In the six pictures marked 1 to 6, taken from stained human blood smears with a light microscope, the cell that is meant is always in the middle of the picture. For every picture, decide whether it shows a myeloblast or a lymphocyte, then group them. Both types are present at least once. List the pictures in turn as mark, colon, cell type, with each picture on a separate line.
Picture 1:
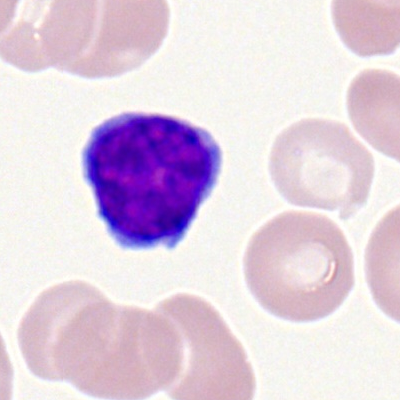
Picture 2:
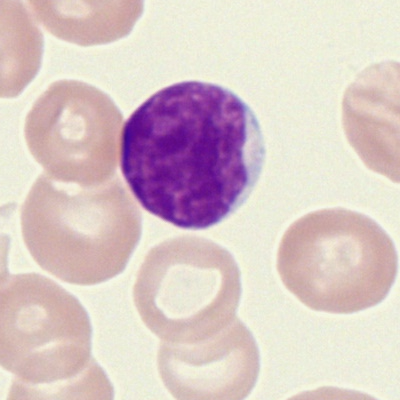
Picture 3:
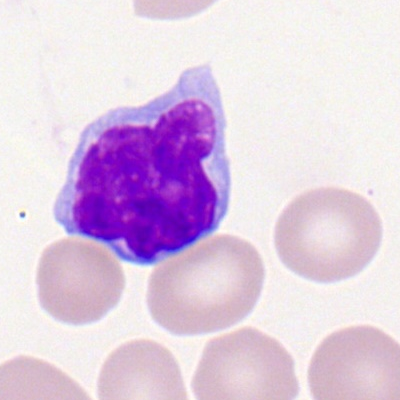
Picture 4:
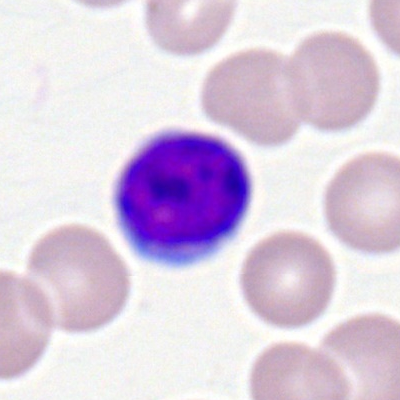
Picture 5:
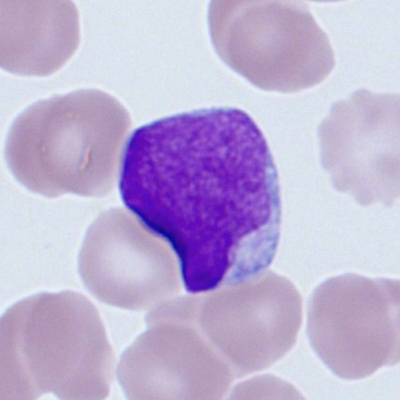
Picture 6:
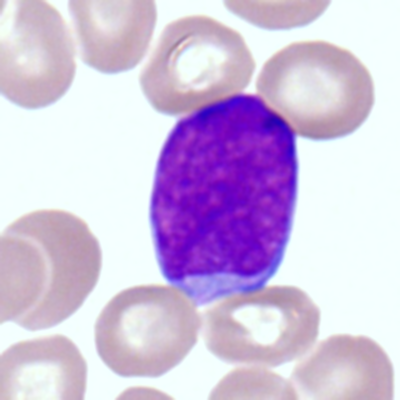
1: lymphocyte
2: lymphocyte
3: lymphocyte
4: lymphocyte
5: myeloblast
6: myeloblast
